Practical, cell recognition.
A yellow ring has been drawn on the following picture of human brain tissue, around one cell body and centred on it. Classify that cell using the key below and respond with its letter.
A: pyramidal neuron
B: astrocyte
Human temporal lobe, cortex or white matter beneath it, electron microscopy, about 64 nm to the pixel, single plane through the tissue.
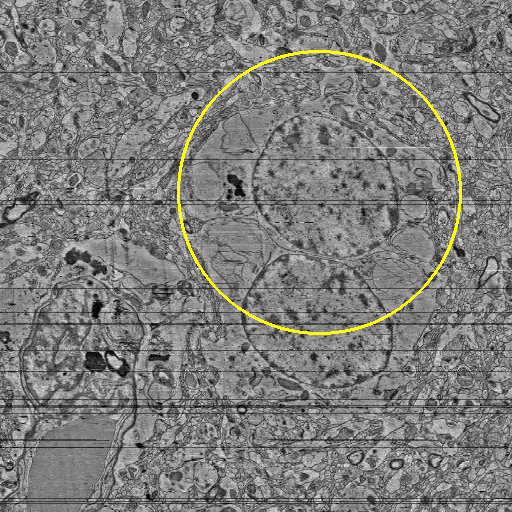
B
